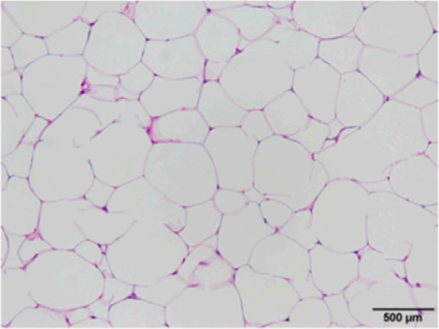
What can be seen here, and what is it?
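Adipose tissue made of adipocytes with clear interiors that look empty. The cells are rounded to polygonal and differ clearly in size, and many are large. Thin pink cytoplasmic rims separate neighbouring cells. Small dark purple nuclei are few and lie pressed against the cell borders. Here and there, small pink strands of tissue lie between the cells.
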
